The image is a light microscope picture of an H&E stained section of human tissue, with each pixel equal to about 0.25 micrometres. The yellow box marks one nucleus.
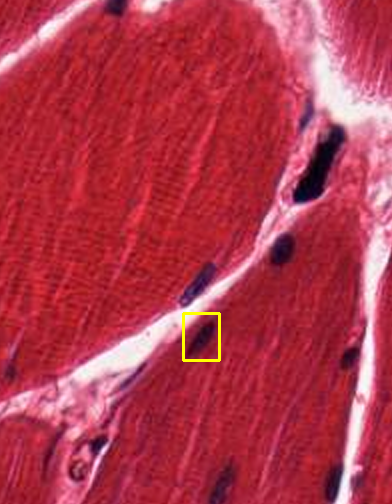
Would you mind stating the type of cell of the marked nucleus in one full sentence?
The nucleus marked in the section is that of a skeletal muscle fibre.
